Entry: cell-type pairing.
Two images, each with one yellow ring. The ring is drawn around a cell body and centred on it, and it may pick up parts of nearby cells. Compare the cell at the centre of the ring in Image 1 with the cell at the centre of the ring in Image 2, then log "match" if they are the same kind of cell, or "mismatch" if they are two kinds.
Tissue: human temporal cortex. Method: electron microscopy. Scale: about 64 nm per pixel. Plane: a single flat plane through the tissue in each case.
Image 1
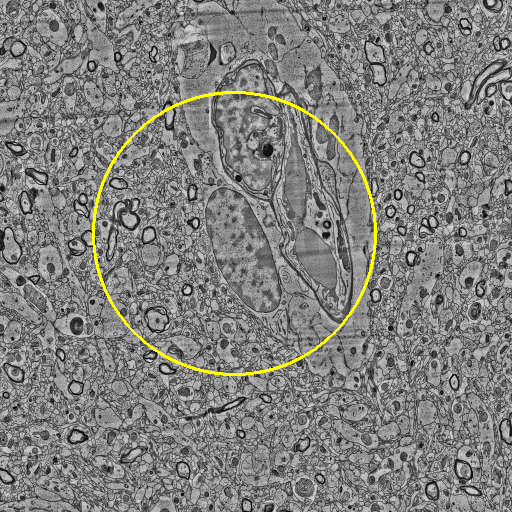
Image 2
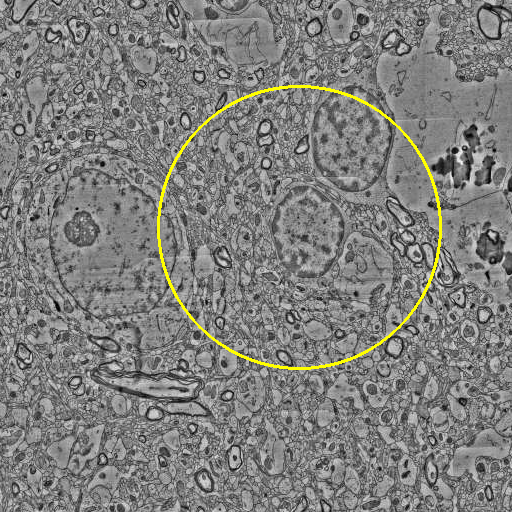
mismatch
